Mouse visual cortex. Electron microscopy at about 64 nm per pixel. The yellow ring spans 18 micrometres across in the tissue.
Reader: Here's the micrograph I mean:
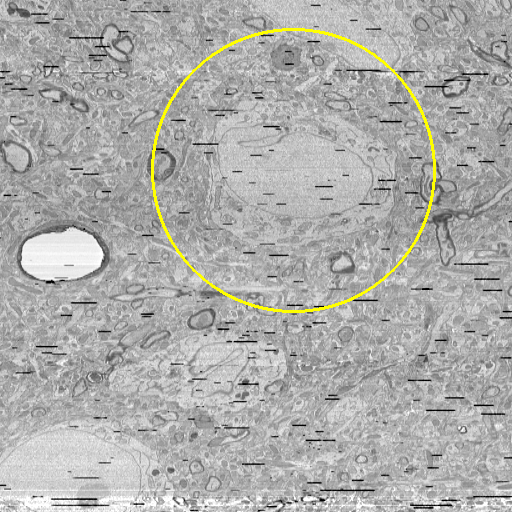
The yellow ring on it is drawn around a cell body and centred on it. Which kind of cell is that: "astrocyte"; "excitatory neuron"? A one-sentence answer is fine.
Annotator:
The ring is centred on an excitatory neuron.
